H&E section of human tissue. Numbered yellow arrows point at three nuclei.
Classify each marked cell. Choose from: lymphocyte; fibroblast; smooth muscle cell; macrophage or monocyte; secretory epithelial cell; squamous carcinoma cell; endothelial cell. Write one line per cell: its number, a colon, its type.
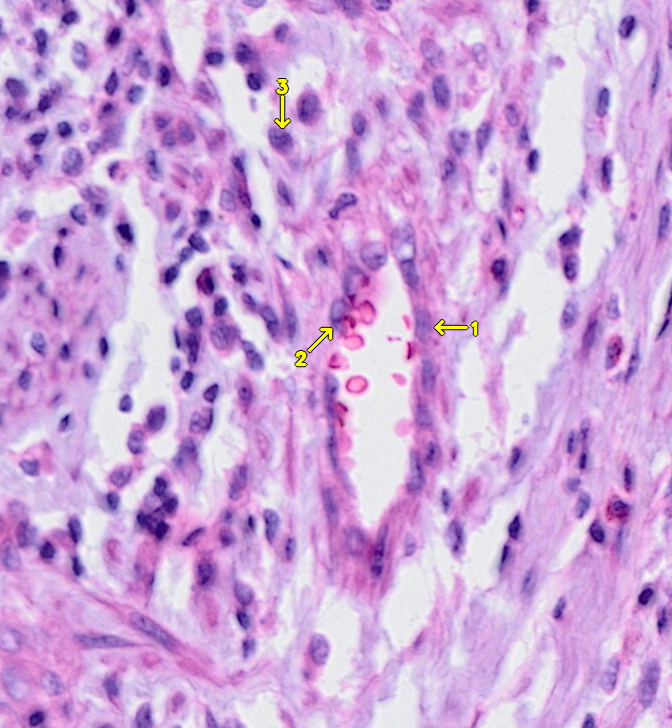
1: endothelial cell
2: endothelial cell
3: macrophage or monocyte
